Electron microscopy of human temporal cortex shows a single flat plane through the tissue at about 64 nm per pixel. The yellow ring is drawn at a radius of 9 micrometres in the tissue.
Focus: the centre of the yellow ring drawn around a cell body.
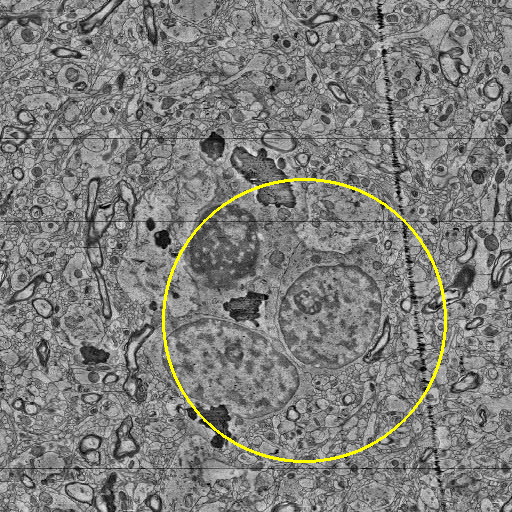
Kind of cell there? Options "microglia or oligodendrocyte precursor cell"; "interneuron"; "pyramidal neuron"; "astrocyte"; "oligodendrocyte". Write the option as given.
oligodendrocyte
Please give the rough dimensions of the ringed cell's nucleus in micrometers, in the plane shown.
In this plane the ringed cell's nucleus is roughly 7 micrometres across.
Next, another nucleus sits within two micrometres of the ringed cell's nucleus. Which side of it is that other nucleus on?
That second nucleus is to the lower left of it.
